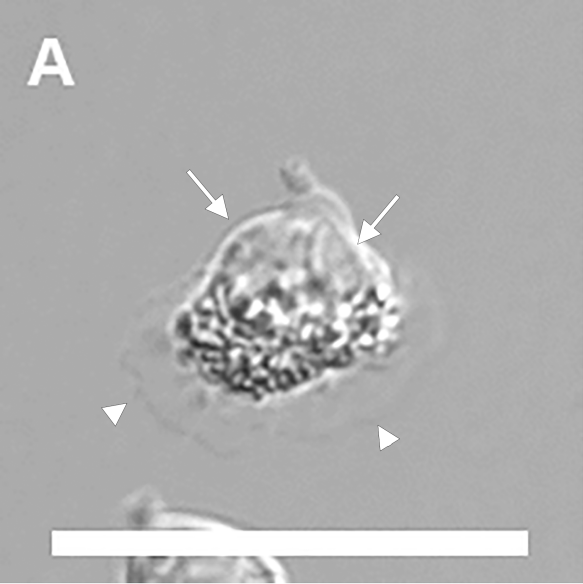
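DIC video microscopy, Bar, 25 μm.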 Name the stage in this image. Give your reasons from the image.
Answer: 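The cell is compact, with its granules gathered into a rounded mass. A cap-like nuclear region sits at one end. A thin veil-like edge lies at the other end.
Answer: acorn-shaped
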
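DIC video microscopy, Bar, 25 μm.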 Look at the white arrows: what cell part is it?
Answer: nuclear lobes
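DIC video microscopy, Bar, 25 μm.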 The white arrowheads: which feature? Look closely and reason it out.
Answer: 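The arrowheads lie at a faint, thin, granule-free membrane sheet. The sheet spreads out from the lower side of the granular cell body. So: periphery of ruffling edge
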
